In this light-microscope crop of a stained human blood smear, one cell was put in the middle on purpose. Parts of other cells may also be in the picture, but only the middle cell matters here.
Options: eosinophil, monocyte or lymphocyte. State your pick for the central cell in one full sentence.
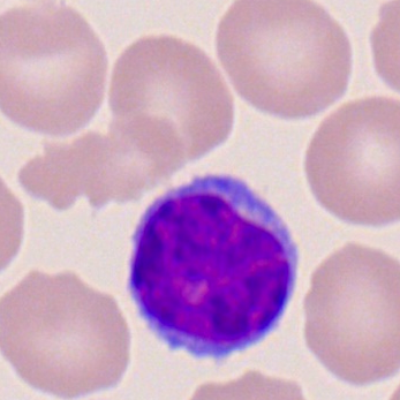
The cell at the middle of the frame should be recorded as a lymphocyte.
